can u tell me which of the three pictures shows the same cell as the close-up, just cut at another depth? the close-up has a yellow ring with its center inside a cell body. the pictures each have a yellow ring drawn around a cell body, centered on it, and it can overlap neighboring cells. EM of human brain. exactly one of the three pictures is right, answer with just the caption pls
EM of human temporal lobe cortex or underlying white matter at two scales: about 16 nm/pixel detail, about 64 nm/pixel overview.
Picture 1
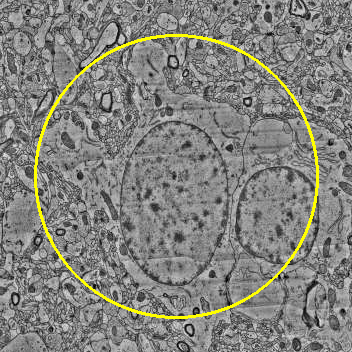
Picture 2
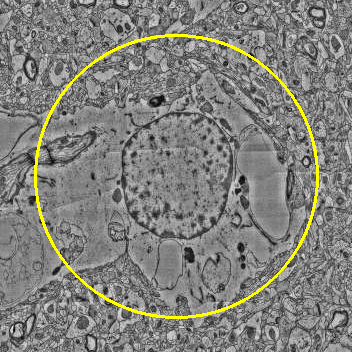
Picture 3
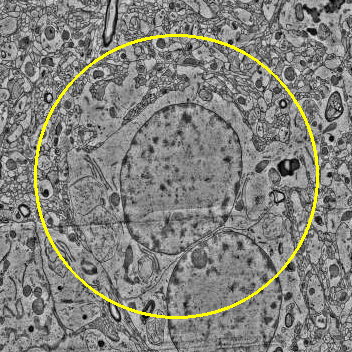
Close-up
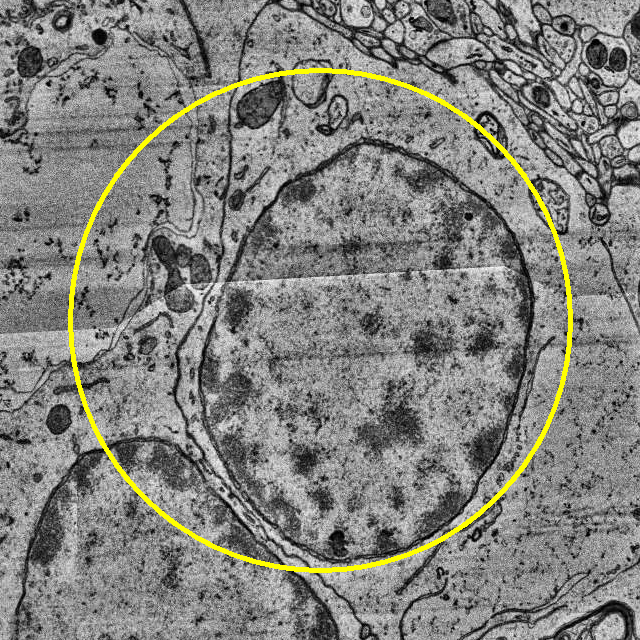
Picture 3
